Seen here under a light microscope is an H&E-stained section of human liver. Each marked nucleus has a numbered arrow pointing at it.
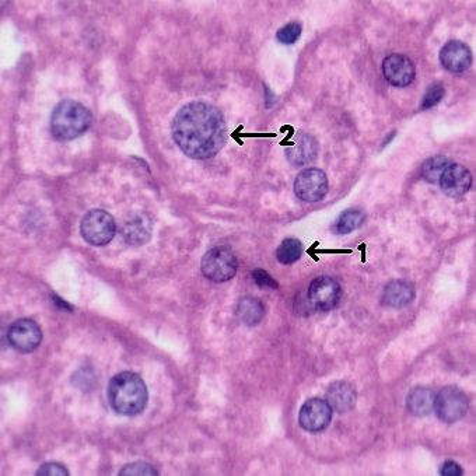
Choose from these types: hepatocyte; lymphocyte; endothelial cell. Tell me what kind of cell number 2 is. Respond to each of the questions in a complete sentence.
The cell numbered 2 has been identified as a hepatocyte.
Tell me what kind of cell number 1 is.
The cell pointed out by number 1 is a lymphocyte.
